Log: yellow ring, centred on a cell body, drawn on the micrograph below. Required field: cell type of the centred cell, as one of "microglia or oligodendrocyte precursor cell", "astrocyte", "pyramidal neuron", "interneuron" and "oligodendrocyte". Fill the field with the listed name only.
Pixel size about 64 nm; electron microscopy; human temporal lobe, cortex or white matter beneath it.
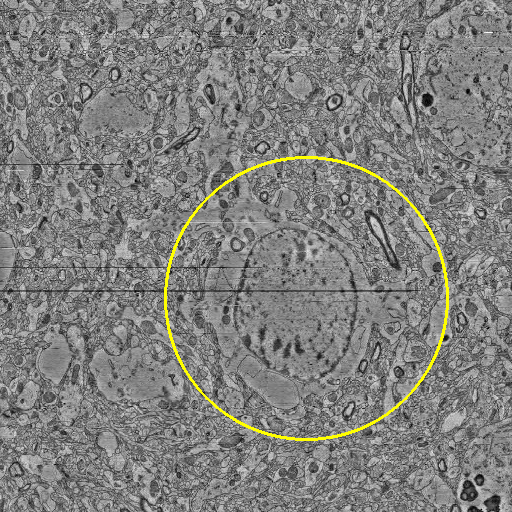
astrocyte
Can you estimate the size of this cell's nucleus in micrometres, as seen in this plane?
Roughly 10 by 8 micrometres in this plane, for the nucleus of the ringed cell.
